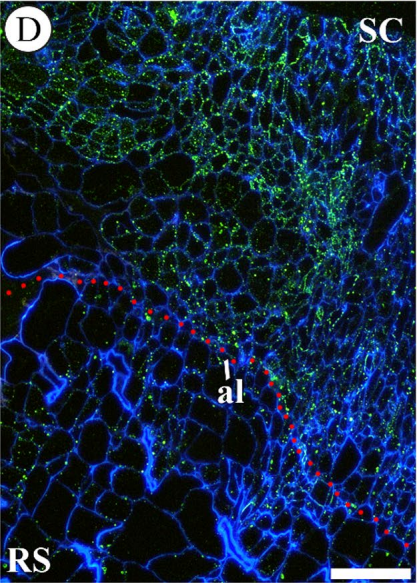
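This is the junction where scion and rootstock tissues meet, with a red dotted line tracing the adhesion line between them. Above the line, on the scion side, the cells are small and tightly packed, and fine green dots lie densely along their blue walls and in their cytoplasm. Below the line, on the rootstock side, the cells are larger and more irregular, with dark interiors and far fewer green dots. The labelling is thus unevenly spread across the junction, stronger on the upper side.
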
